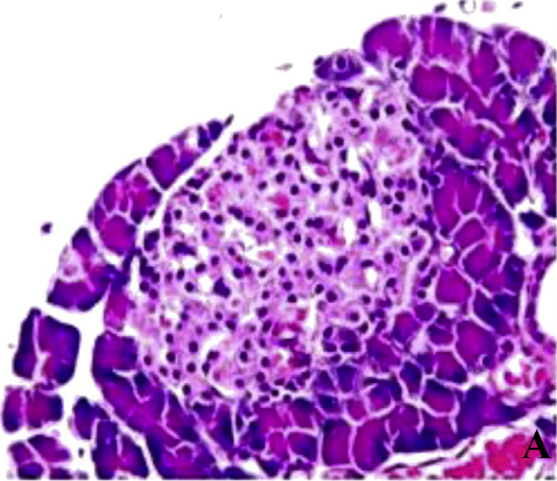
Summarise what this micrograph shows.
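This is pancreatic tissue with a large islet of Langerhans surrounded by exocrine acini. The islet is a pale pink, loosely arranged cluster of endocrine cells with small, round, dark nuclei and lightly staining cytoplasm, threaded by thin capillaries that hold red blood cells. Around it, the acinar cells form groups of pyramidal cells whose cytoplasm stains a deep purple-magenta, much darker than the islet. The border between the pale islet and the dark acini is easy to follow. At the lower right, a vessel packed with red blood cells can be seen next to the tissue.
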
